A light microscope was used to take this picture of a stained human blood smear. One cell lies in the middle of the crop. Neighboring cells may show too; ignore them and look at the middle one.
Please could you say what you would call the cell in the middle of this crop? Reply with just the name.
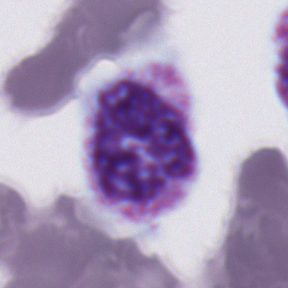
neutrophil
